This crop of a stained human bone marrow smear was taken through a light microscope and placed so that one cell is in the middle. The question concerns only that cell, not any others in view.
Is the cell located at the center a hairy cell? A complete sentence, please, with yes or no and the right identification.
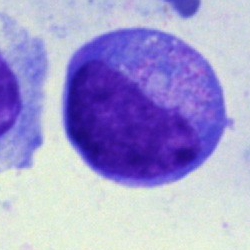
No, the cell in the middle is recognised as a blast rather than a hairy cell.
